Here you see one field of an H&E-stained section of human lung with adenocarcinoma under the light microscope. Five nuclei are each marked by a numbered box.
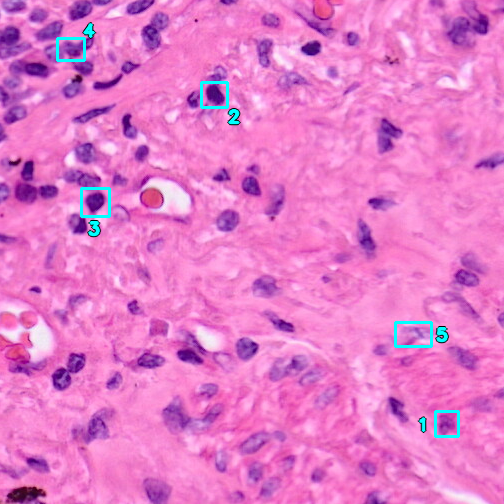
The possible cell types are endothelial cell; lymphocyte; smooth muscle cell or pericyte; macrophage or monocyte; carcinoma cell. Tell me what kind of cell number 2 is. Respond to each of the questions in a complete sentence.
Here the cell numbered 2 is a lymphocyte.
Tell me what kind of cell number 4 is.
Cell 4 in the field of view is a lymphocyte.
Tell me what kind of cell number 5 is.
Cell 5, as marked in the section, is a smooth muscle cell or pericyte.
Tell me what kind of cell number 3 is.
Cell 3 is classified as a lymphocyte.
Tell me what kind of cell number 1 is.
The cell marked with the number 1 is a smooth muscle cell or pericyte.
